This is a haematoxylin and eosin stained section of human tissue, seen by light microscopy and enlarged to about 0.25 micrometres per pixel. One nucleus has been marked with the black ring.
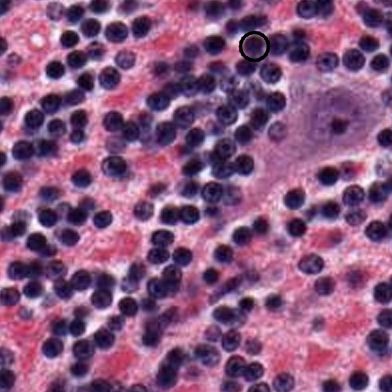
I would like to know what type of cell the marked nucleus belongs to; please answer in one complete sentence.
The mark falls on a nucleus belonging to a cerebellar granule cell.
